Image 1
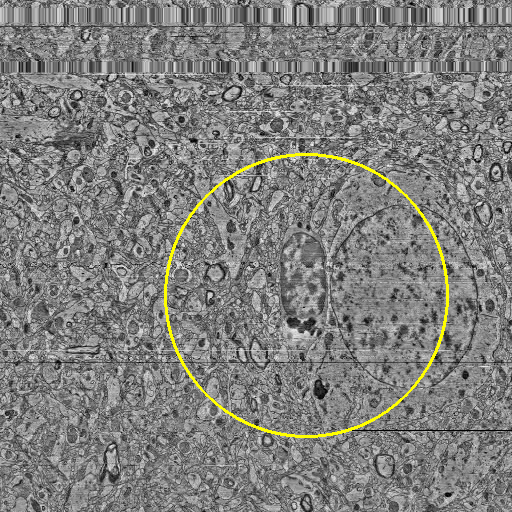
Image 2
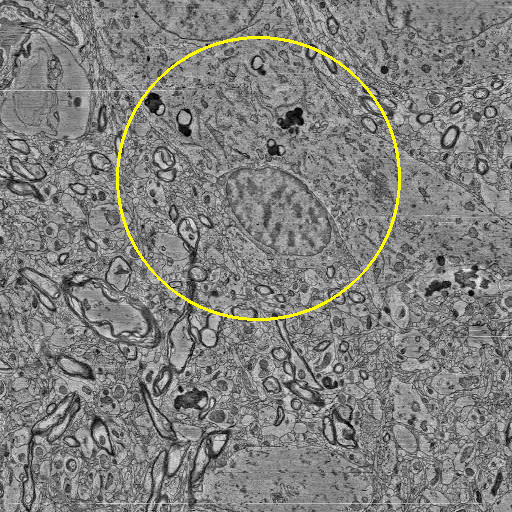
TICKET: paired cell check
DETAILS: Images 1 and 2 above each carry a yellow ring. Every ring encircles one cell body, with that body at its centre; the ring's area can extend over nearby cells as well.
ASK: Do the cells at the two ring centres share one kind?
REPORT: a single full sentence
Yes, the ring-centre cells of Images 1 and 2 belong to a single kind.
